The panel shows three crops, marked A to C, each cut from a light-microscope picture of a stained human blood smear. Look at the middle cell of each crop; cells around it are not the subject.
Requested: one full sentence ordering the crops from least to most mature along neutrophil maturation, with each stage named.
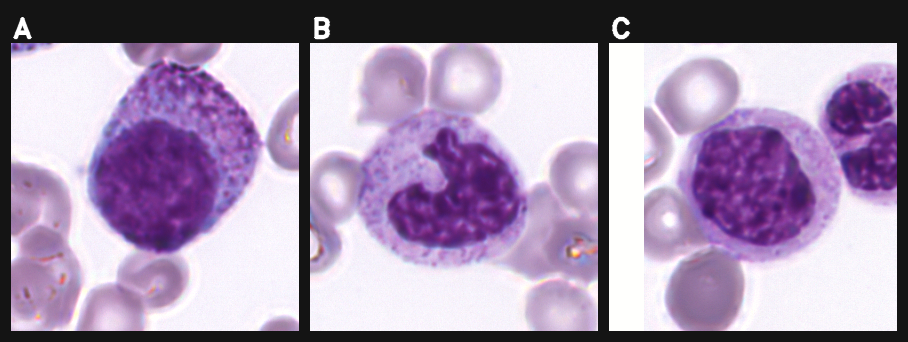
The ordering by maturity, from earliest to most mature, is crop A (a promyelocyte), crop C (a myelocyte) and crop B (a band neutrophil).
